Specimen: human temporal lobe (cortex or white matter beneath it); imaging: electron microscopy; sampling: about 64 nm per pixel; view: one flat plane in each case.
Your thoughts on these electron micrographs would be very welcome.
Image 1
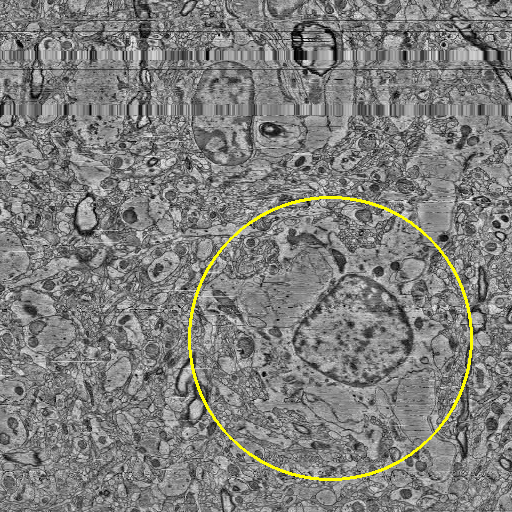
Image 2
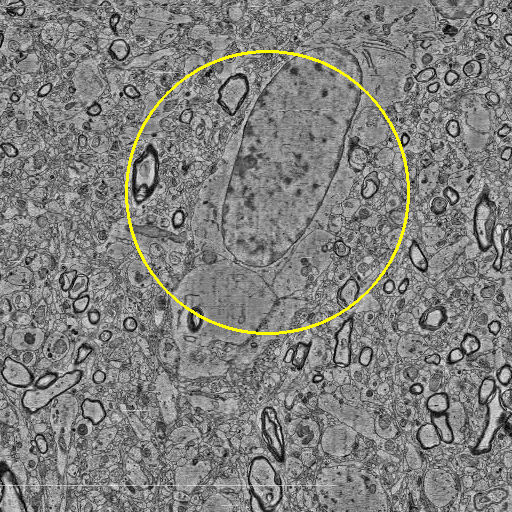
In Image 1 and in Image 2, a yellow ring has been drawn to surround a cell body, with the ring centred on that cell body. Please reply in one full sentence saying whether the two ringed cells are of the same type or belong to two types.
The ringed cells in Image 1 and Image 2 belong to two types.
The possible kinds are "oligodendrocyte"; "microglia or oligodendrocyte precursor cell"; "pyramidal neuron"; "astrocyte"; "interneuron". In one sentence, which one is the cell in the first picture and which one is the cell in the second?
The cell ringed in the second picture is a microglial cell or oligodendrocyte precursor cell, whereas the one ringed in the first is an astrocyte.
